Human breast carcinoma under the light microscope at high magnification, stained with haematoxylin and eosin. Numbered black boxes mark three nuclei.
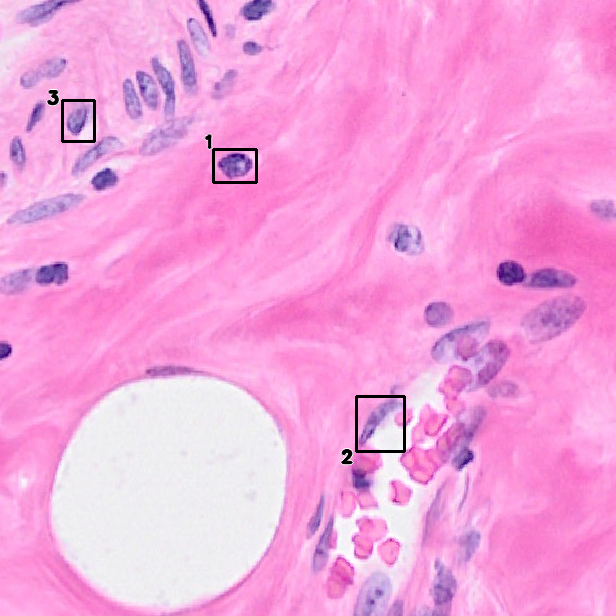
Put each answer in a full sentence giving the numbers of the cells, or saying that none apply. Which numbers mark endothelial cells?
The cells tagged 2 and 3 are endothelial cells in this tissue section.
